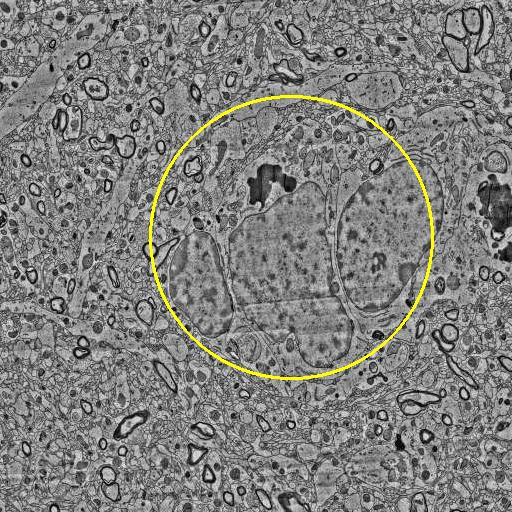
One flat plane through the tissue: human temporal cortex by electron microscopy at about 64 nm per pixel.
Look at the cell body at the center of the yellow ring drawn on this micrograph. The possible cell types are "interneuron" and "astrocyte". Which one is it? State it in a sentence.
The cell in the middle of the ring is an interneuron.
